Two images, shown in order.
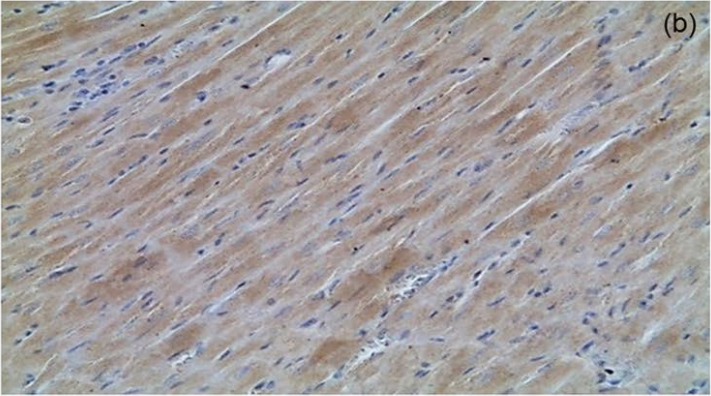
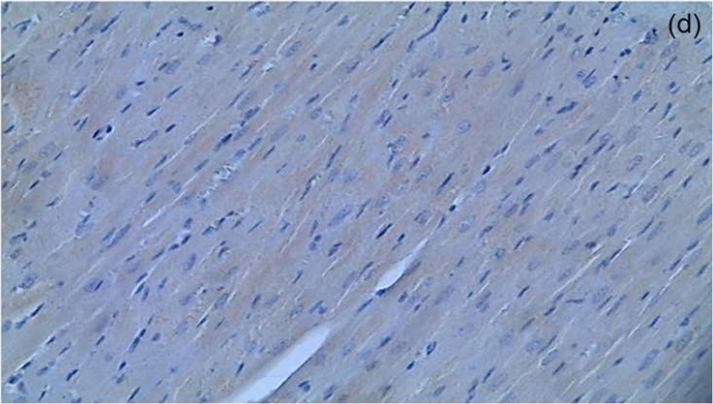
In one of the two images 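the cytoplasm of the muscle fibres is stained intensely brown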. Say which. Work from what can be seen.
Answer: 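Second image: the fibres are mostly pale blue-grey with only faint brownish tinge. First image: broad areas of fibre cytoplasm are a strong brown. So: the first image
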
